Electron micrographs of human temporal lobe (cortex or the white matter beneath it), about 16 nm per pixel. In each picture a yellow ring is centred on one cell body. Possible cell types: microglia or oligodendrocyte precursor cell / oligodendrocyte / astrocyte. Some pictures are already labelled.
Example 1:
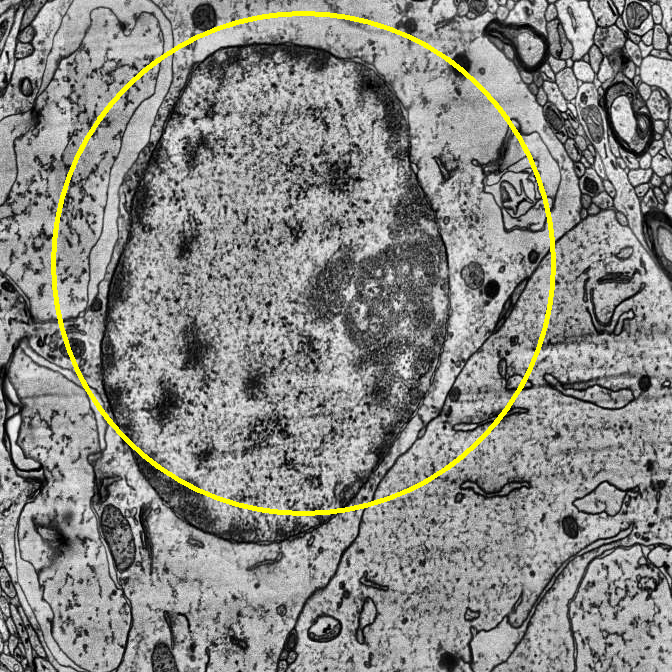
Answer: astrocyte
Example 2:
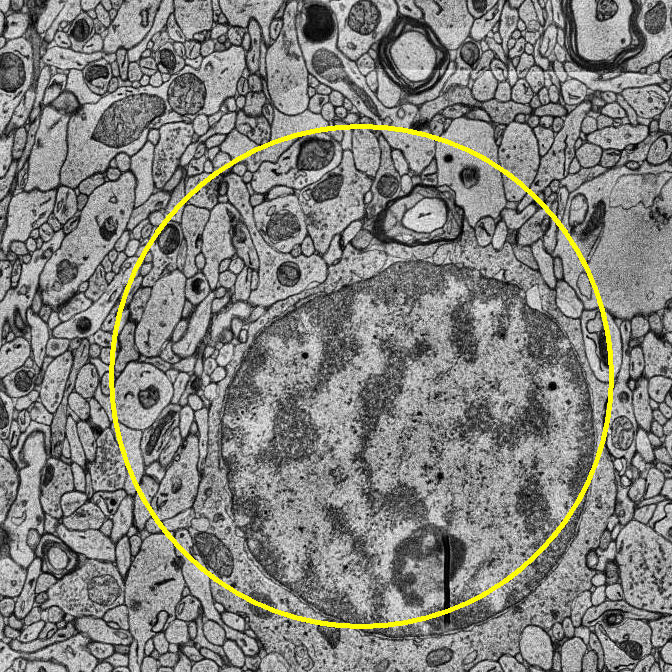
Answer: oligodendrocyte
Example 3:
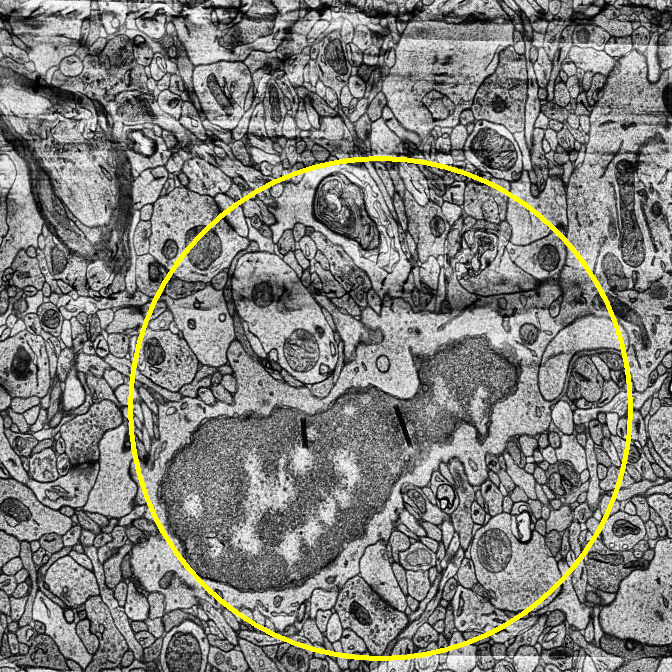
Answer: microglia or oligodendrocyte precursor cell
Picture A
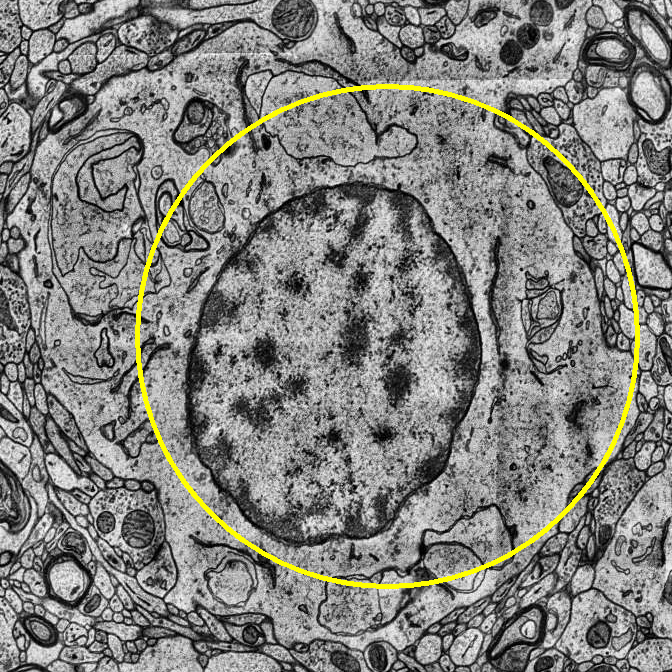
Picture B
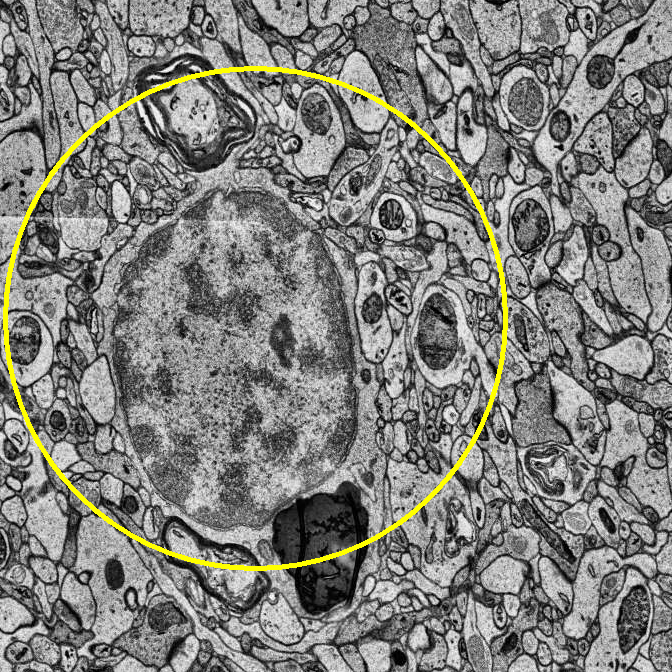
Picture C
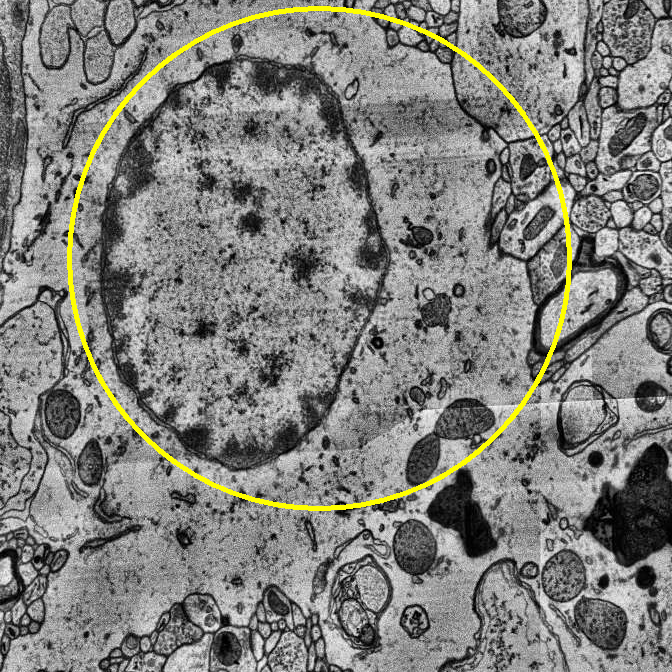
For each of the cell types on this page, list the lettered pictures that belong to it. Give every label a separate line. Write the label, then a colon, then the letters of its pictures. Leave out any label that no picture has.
oligodendrocyte: B
astrocyte: A, C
